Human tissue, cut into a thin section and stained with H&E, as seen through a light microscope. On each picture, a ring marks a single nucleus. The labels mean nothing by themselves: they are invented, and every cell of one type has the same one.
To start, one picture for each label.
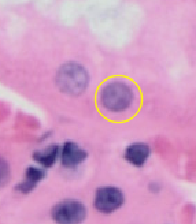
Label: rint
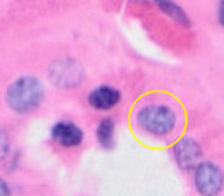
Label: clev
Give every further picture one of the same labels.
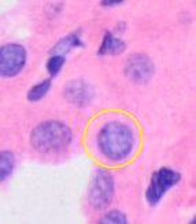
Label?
clev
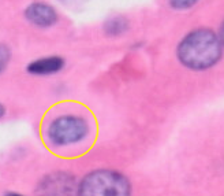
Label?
clev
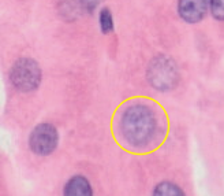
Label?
rint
